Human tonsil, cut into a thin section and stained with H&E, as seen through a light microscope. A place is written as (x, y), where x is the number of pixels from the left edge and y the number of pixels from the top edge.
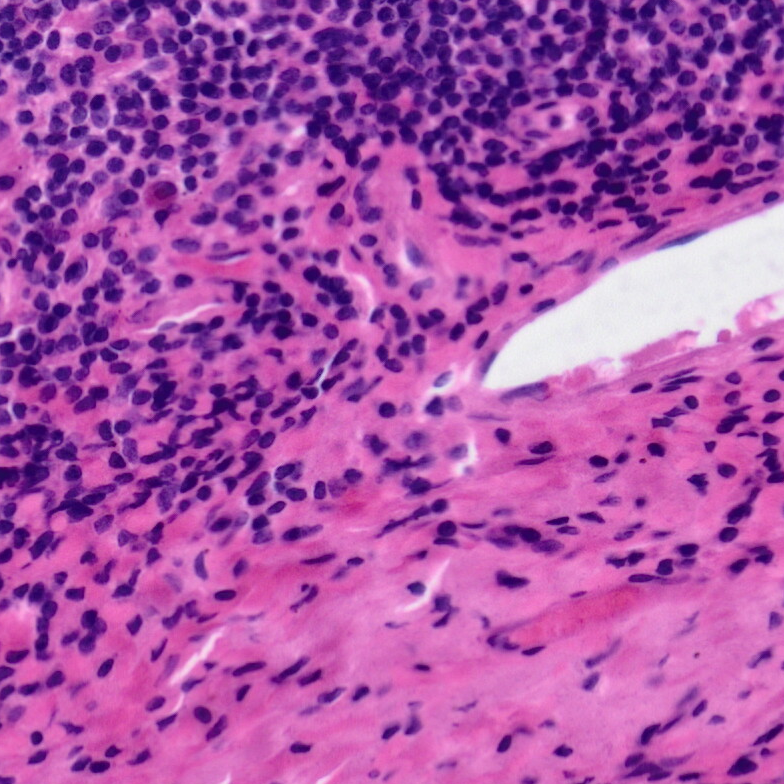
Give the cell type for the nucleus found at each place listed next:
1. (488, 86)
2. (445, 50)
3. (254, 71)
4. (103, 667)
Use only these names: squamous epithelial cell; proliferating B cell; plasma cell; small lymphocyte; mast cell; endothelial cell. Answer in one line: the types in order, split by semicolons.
small lymphocyte; small lymphocyte; small lymphocyte; mast cell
